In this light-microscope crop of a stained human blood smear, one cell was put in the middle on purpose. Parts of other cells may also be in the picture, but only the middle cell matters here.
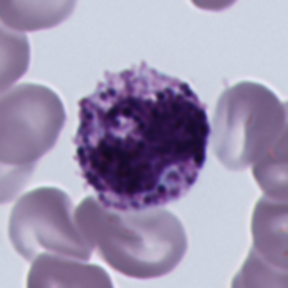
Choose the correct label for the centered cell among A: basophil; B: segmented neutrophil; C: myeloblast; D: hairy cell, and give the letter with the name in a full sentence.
Option A holds, for the cell in the middle is a basophil.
